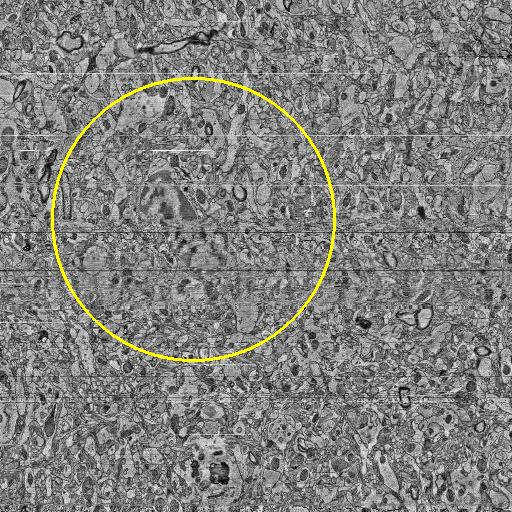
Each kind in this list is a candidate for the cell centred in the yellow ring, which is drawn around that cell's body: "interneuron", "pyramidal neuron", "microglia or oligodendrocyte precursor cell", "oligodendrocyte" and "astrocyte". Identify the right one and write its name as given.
microglia or oligodendrocyte precursor cell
